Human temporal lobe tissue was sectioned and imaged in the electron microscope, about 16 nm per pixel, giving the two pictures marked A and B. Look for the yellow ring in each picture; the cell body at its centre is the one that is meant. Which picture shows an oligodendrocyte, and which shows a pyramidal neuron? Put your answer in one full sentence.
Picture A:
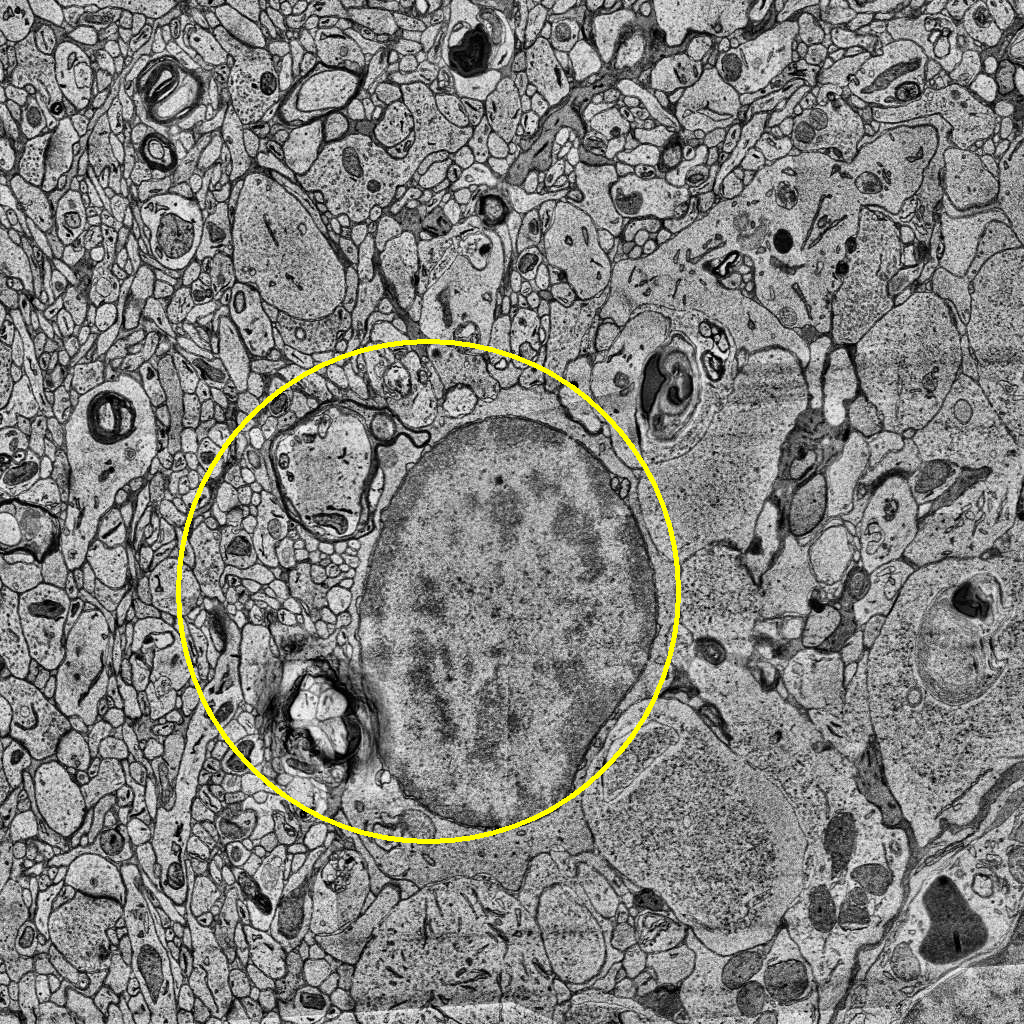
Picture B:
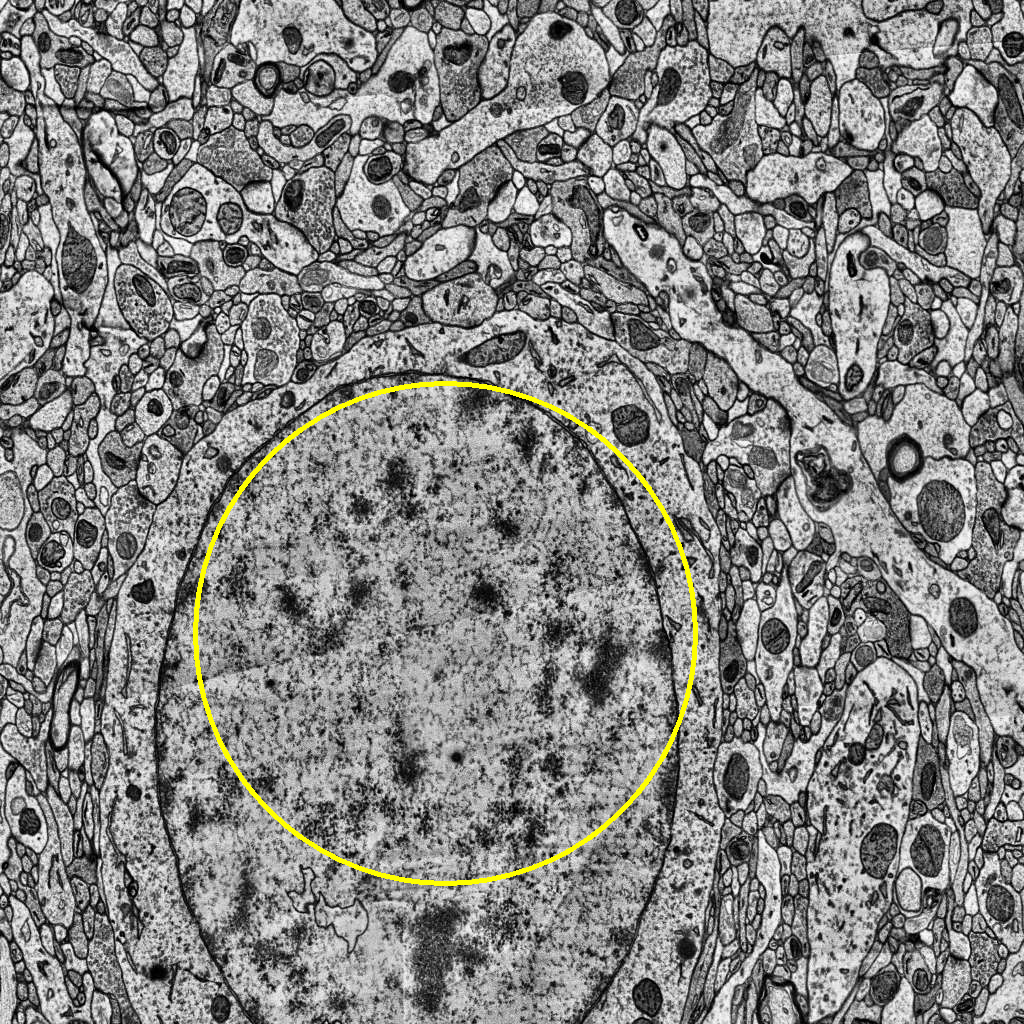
Picture B shows a pyramidal neuron, while picture A shows an oligodendrocyte.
